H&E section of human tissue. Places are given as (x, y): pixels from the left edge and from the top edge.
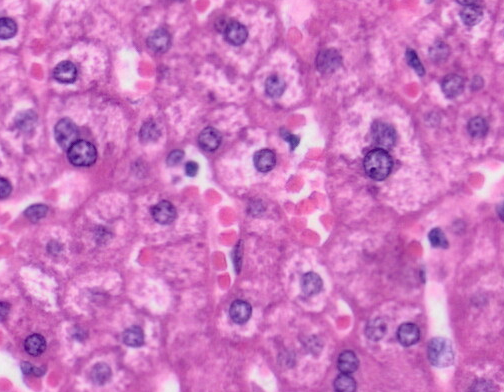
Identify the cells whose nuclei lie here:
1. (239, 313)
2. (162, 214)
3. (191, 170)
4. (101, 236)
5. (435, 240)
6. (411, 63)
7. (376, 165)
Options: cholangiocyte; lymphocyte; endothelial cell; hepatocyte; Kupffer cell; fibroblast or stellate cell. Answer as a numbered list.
1. hepatocyte
2. hepatocyte
3. lymphocyte
4. hepatocyte
5. lymphocyte
6. fibroblast or stellate cell
7. hepatocyte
